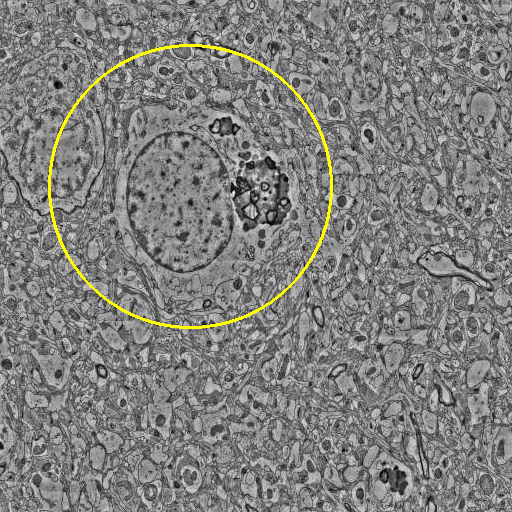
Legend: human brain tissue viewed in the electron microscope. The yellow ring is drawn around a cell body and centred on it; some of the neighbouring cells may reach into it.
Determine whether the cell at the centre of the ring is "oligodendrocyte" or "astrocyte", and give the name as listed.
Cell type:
astrocyte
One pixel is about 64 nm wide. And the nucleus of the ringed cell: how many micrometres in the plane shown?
In this plane the nucleus measures roughly 9 by 7 micrometers.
